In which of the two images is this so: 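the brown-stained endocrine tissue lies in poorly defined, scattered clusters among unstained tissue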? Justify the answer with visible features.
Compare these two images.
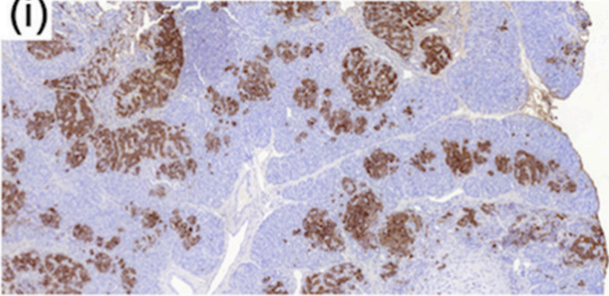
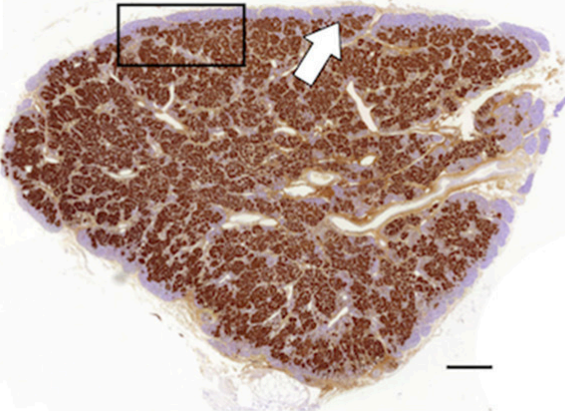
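The first image. Second image: brown tissue forms one dense mass filling nearly the whole section. First image: brown clusters of varied size are scattered between broad blue lobules without a clear border.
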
